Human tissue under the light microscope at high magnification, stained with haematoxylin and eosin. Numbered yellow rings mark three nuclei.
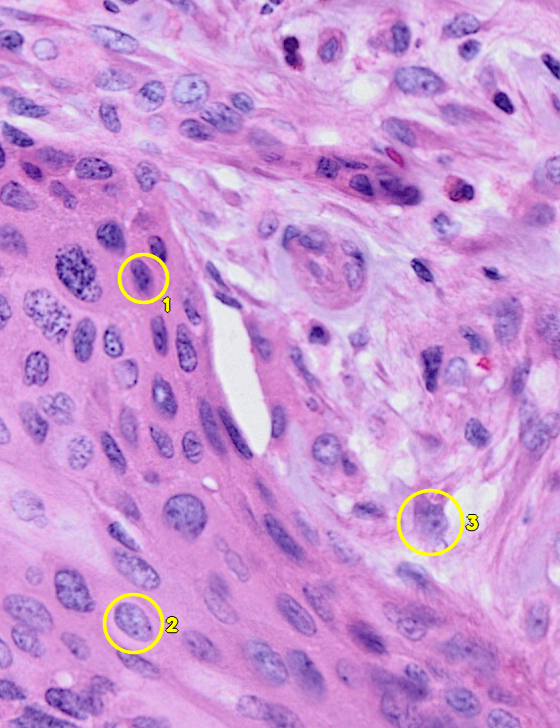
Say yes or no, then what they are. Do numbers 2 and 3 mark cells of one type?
No, cell 2 is a squamous carcinoma cell, while cell 3 is a fibroblast.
